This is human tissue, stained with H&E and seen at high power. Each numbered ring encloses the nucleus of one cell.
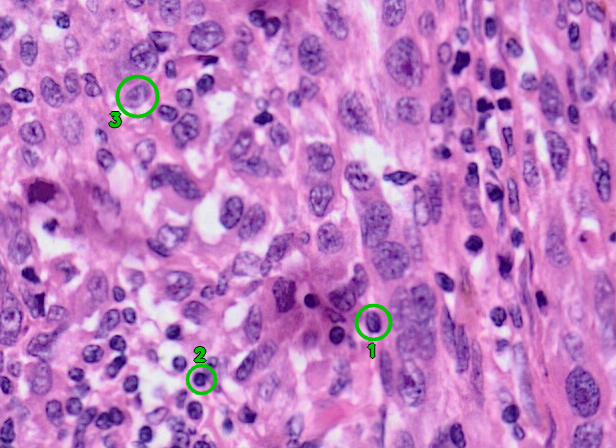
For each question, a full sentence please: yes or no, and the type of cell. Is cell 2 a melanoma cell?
No, the cell under number 2 is a lymphocyte instead of a melanoma cell.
